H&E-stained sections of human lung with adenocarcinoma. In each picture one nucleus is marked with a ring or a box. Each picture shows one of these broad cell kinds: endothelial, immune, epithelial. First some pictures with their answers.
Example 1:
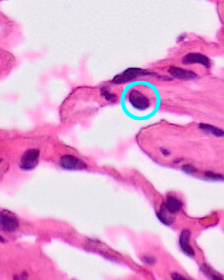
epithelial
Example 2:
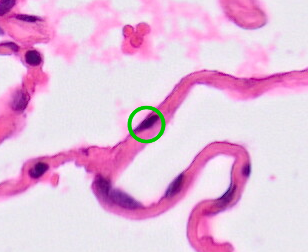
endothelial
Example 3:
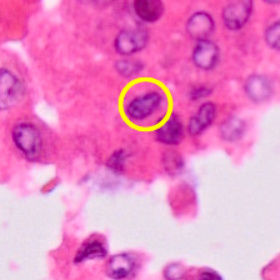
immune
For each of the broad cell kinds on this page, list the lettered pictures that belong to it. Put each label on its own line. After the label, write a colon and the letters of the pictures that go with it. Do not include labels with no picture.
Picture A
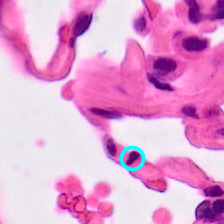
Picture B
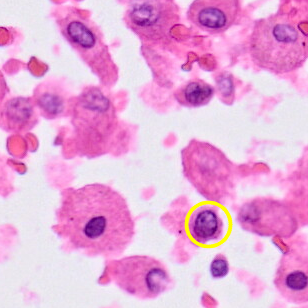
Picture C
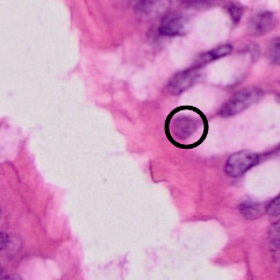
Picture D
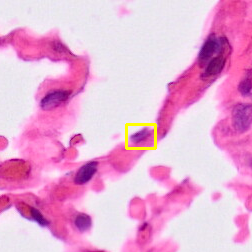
endothelial: A
immune: B
epithelial: C, D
